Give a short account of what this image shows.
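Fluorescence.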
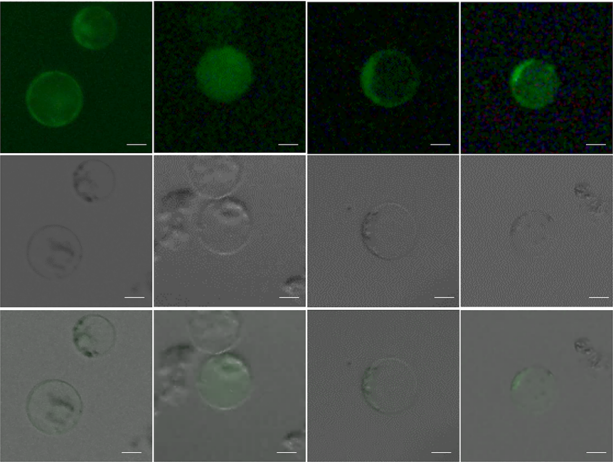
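These are isolated plant protoplasts, seen as round, free-floating cells without walls. In bright field each appears as a smooth circle with a thin outline, some with darker granular material clustered to one side. The green fluorescence fills the sphere faintly in some cells. In others it is brighter along part of the rim, forming a crescent at the cell edge. A few irregular fragments of debris lie near the protoplasts in the bright-field images.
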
